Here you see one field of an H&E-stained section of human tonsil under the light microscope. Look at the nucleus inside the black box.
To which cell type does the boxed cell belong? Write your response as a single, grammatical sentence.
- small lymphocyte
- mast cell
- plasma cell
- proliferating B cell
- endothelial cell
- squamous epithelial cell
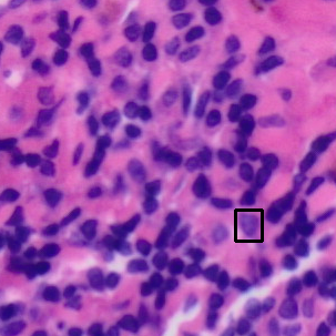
In this field of tissue, the boxed cell is an endothelial cell.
